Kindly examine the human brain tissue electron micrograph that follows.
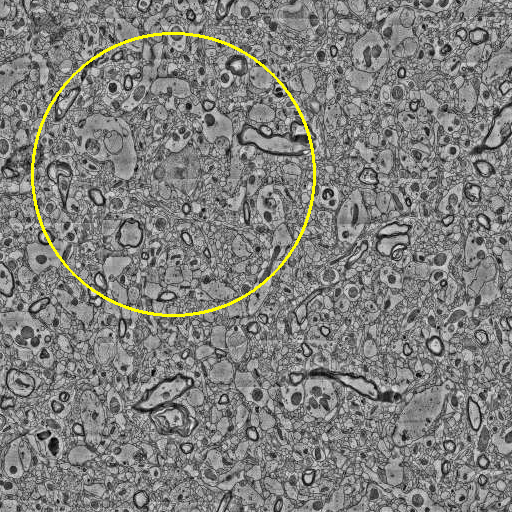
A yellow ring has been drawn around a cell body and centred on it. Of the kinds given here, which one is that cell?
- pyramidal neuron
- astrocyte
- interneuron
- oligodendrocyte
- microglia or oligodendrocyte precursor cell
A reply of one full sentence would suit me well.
The micrograph's ringed cell, the one at the ring's centre, is an oligodendrocyte.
